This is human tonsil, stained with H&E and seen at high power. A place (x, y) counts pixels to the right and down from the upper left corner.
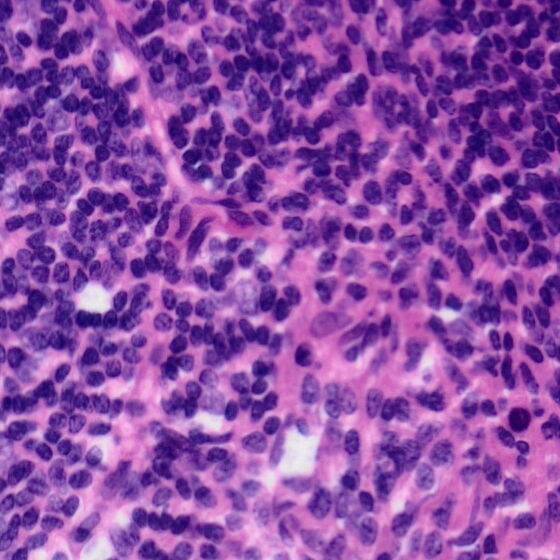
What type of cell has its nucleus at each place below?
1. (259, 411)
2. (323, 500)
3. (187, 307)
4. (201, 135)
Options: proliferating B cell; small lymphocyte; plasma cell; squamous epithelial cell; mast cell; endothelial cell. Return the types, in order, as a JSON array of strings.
["small lymphocyte", "proliferating B cell", "small lymphocyte", "small lymphocyte"]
